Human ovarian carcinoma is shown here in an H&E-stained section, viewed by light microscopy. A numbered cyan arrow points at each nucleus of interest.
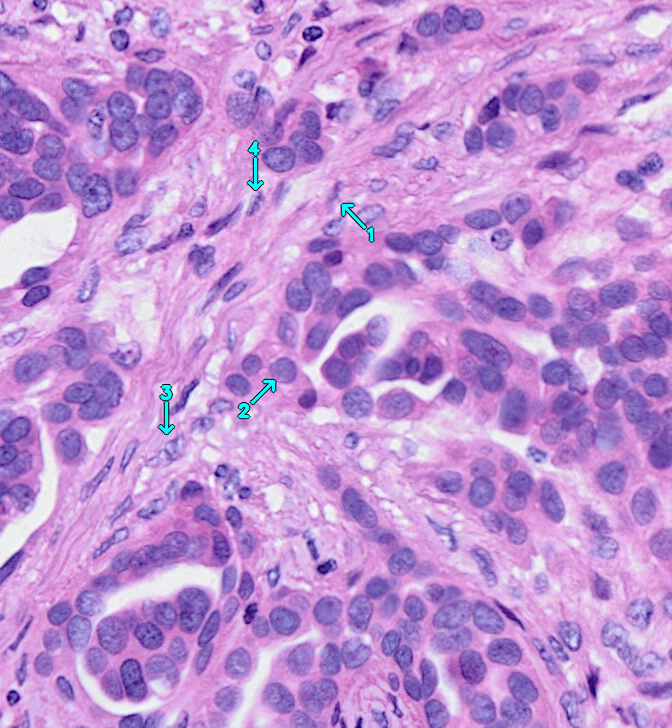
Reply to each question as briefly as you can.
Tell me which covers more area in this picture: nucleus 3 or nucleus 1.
3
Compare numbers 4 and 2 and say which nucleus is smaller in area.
4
